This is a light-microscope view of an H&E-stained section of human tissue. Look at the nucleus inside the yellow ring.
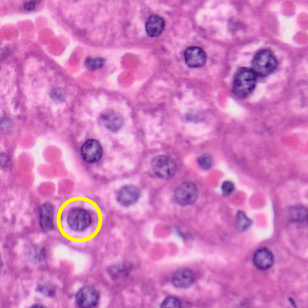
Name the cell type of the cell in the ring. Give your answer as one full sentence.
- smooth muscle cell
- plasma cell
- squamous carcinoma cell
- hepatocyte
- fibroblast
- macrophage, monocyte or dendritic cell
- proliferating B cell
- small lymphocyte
Within this tissue, the cell in the ring is a hepatocyte.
